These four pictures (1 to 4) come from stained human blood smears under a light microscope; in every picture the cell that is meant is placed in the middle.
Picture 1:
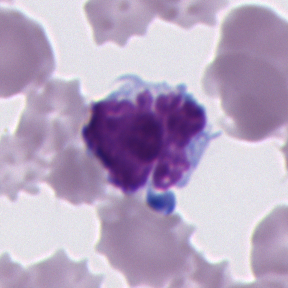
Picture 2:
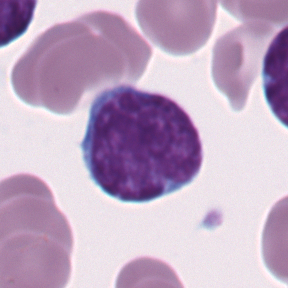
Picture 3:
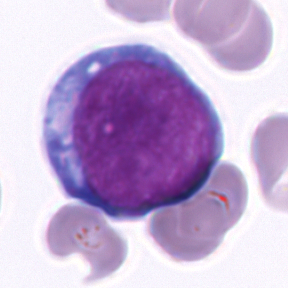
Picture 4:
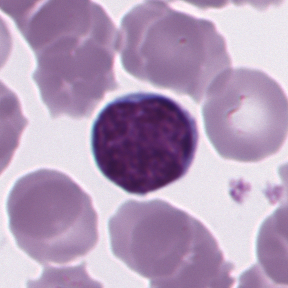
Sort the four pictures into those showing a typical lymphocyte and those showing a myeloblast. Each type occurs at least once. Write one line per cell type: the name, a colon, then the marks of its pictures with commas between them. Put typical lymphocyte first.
typical lymphocyte: 1, 2, 4
myeloblast: 3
